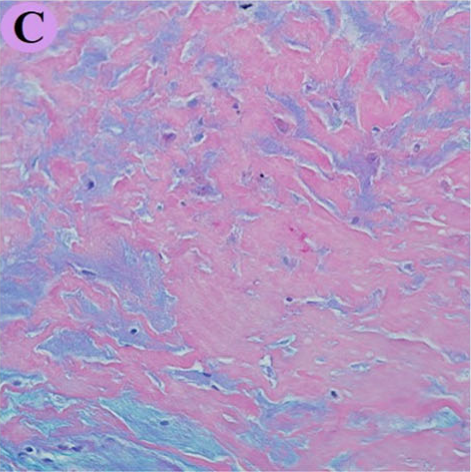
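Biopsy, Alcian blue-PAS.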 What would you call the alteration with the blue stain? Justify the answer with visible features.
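Irregular blue-staining patches lie among the pink matrix. The blue areas are extensive, especially in the lower left. The answer: increased content of glycosaminoglycans.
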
